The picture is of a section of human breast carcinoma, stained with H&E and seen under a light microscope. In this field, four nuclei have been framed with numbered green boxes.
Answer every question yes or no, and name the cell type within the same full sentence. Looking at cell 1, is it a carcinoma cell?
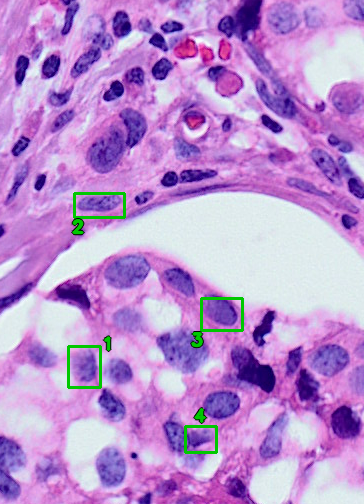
Yes, the cell that goes by number 1 is a carcinoma cell.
